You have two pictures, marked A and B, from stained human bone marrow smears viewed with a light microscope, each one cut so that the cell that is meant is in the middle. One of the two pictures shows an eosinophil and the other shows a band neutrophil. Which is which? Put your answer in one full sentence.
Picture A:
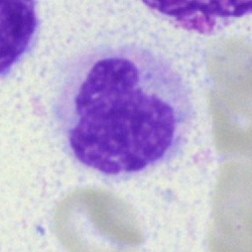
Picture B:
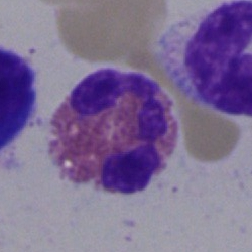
The cell in picture A is a band neutrophil, and the one in picture B is an eosinophil.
